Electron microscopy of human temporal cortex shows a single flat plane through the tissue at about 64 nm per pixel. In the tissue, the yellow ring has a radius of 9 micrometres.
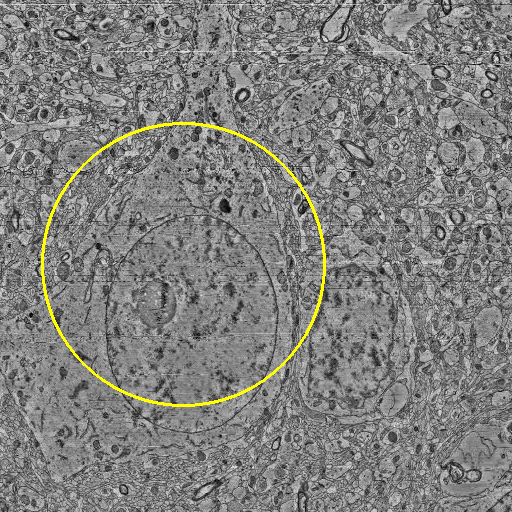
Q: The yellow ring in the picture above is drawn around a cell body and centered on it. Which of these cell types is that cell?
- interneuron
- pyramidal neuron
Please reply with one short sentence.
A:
The cell body at the ring's center belongs to a pyramidal neuron.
